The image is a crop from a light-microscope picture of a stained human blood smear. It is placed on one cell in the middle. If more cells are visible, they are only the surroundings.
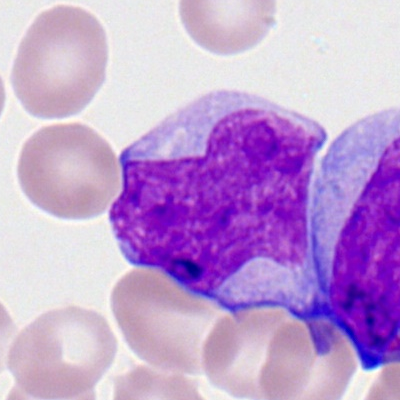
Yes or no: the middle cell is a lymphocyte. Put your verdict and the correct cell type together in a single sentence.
No, this one is a blast; it is not a lymphocyte.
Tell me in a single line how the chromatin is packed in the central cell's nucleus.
The key point is fine chromatin with no coarse clumps.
